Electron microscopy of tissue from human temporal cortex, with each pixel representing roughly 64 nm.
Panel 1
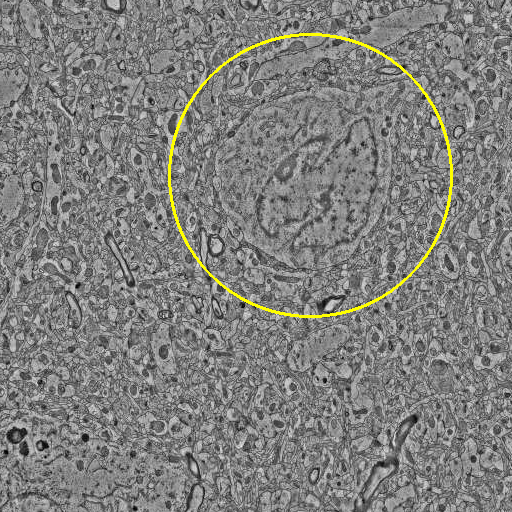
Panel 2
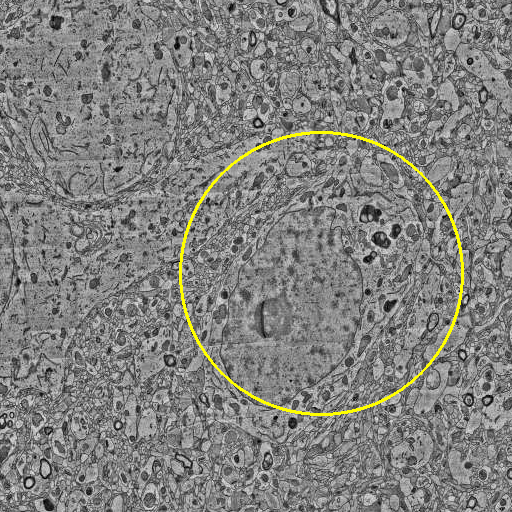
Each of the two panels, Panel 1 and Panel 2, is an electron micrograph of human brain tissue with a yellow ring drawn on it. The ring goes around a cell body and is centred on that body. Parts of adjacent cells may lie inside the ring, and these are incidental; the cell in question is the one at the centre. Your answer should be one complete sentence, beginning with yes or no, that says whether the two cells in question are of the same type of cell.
Yes, the two cells are of the same type.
